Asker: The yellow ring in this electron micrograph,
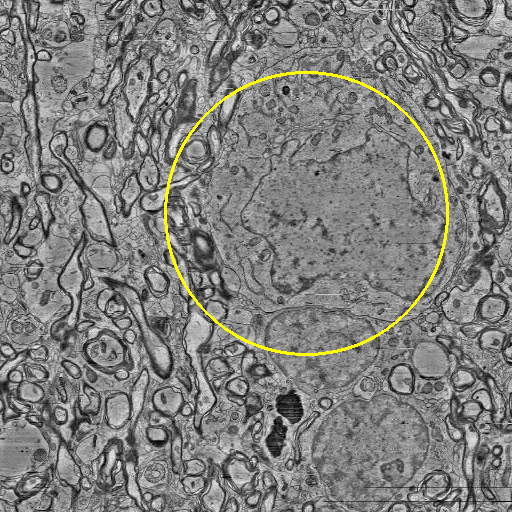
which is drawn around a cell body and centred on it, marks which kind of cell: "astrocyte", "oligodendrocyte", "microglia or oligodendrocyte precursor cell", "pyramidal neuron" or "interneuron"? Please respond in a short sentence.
The marked cell is an interneuron.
